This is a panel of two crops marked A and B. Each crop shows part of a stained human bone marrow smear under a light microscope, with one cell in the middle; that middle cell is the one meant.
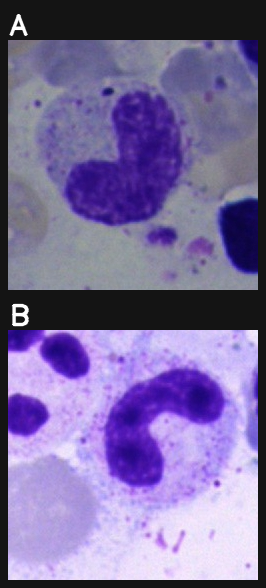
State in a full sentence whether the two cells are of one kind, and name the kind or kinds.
Yes, both crops show band neutrophils, and nothing else needs adding.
